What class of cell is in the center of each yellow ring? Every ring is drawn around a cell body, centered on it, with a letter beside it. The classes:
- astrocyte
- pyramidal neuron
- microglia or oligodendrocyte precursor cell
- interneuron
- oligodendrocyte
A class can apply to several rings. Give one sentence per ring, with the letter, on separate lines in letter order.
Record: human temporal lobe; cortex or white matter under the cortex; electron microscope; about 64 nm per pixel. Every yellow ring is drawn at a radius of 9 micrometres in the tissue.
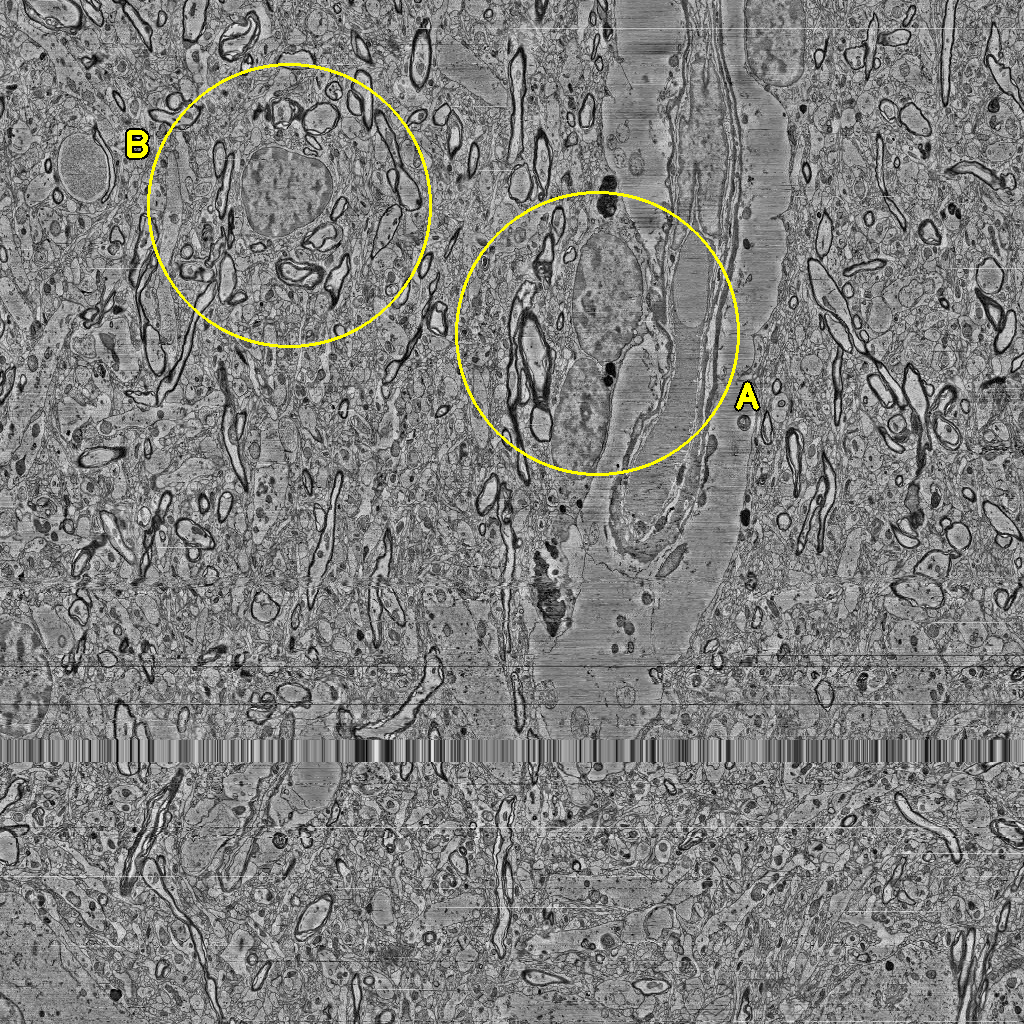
Ring A holds an oligodendrocyte at its center.
Ring B holds a microglial cell or oligodendrocyte precursor cell at its center.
